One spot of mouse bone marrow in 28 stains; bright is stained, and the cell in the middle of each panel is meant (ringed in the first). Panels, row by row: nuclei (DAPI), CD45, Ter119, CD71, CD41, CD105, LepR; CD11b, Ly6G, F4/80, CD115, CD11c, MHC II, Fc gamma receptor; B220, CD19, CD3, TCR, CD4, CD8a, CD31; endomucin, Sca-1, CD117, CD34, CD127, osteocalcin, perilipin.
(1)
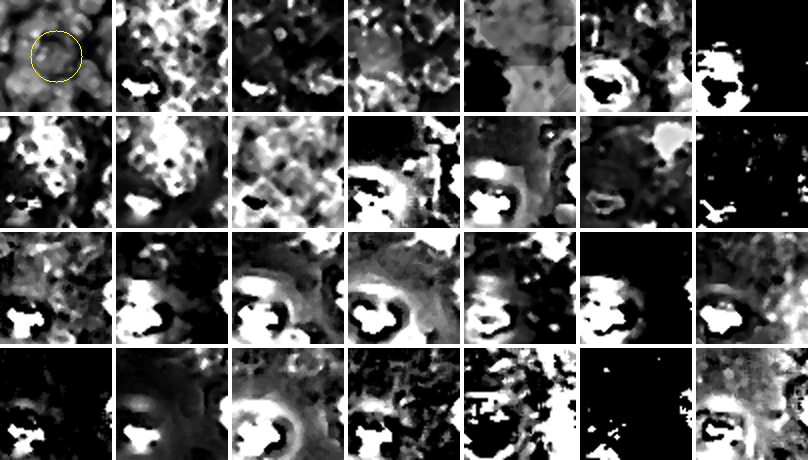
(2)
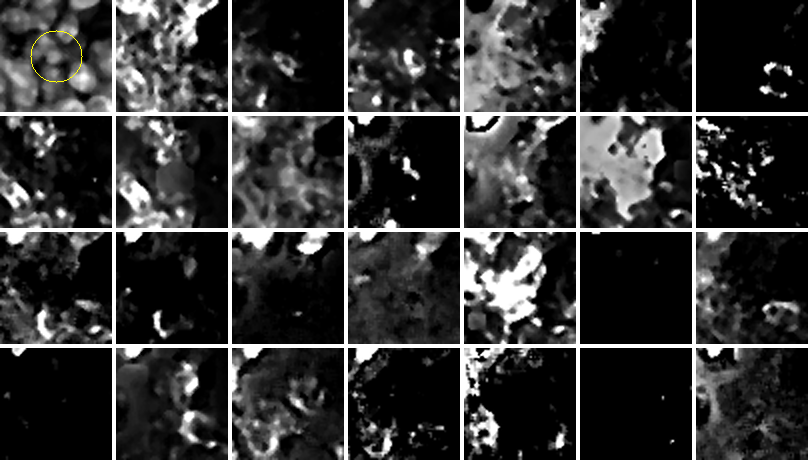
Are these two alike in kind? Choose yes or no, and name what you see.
Yes. Megakaryocyte progenitors.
